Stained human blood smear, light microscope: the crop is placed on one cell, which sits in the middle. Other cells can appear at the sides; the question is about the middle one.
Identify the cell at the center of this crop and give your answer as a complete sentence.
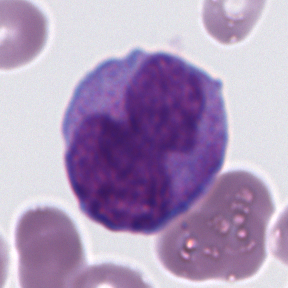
The center cell of this crop is an atypical promyelocyte.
